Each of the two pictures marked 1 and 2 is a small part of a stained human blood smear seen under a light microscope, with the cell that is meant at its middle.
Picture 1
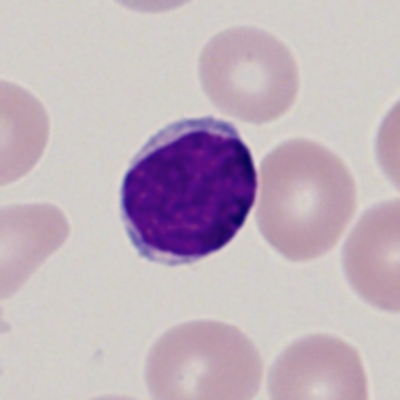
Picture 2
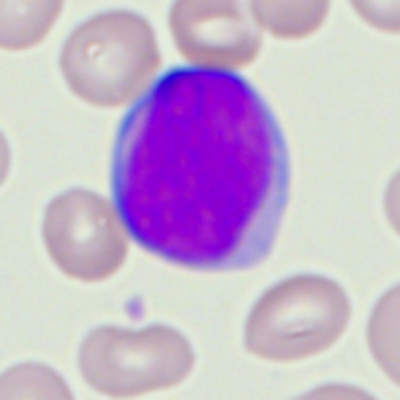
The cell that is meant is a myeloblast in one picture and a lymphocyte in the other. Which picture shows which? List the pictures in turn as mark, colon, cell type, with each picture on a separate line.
1: lymphocyte
2: myeloblast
